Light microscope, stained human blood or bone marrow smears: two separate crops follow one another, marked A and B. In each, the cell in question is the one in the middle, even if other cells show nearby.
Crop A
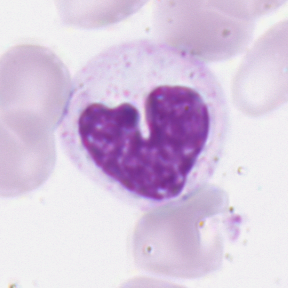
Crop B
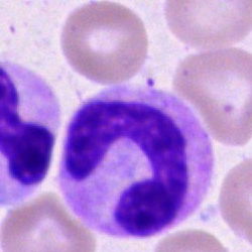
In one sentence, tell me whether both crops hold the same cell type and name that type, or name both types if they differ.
Yes, the two crops show band neutrophils, one cell each.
